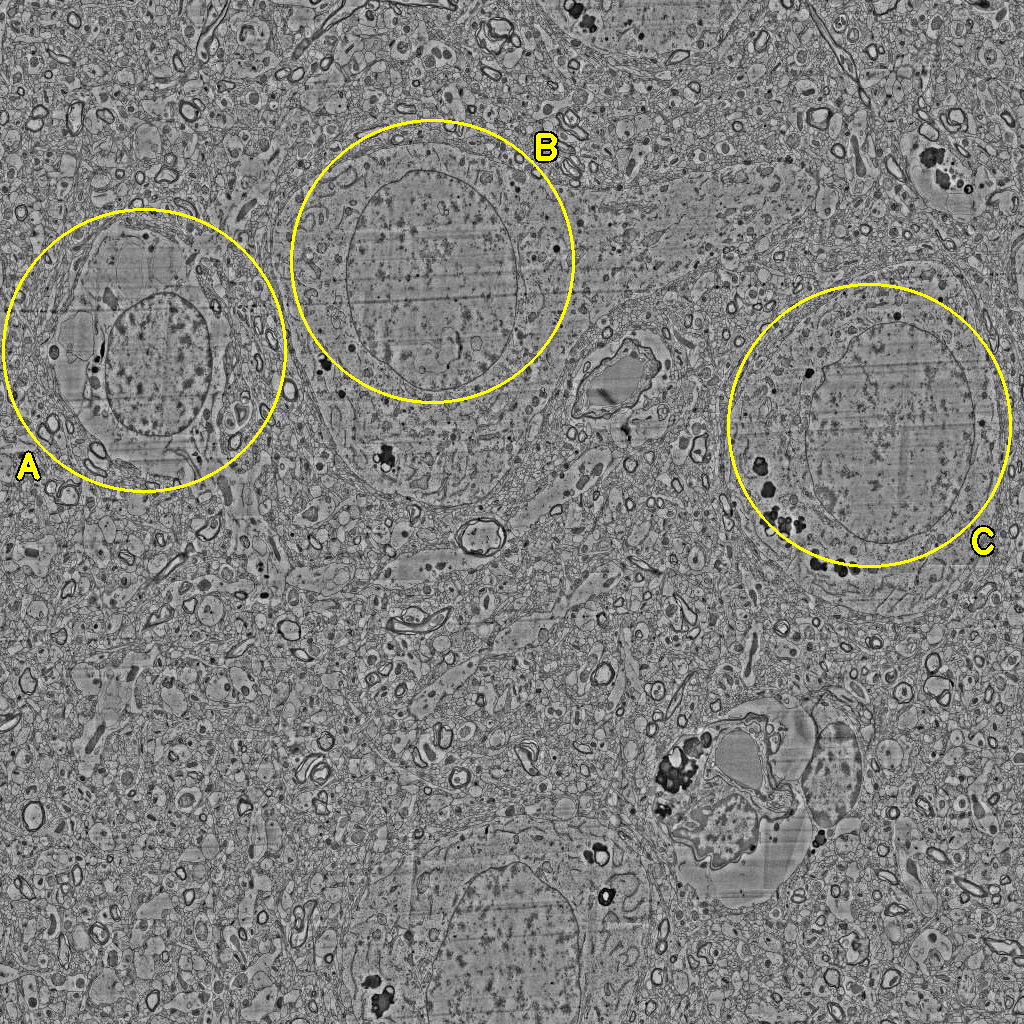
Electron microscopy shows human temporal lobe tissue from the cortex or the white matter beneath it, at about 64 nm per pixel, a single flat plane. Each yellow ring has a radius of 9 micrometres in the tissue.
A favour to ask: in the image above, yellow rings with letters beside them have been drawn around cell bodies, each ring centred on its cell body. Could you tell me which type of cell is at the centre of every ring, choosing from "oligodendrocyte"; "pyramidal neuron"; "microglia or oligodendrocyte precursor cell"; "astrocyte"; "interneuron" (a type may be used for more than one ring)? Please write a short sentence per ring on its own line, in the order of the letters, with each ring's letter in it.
Ring A holds an astrocyte at its centre.
Ring B holds a pyramidal neuron at its centre.
Ring C holds a pyramidal neuron at its centre.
